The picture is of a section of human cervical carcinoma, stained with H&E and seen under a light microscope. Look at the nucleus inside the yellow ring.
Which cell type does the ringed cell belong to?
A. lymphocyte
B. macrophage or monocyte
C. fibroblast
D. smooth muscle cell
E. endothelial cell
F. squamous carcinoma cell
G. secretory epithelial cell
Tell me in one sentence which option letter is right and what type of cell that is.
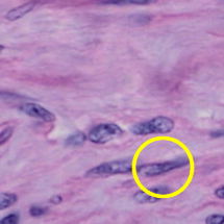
Option D names the ringed cell correctly as a smooth muscle cell.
